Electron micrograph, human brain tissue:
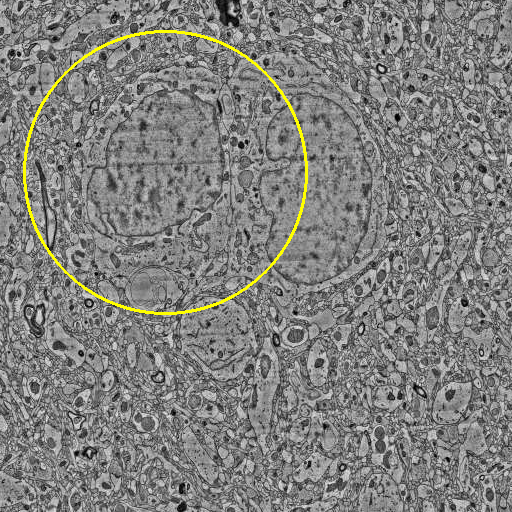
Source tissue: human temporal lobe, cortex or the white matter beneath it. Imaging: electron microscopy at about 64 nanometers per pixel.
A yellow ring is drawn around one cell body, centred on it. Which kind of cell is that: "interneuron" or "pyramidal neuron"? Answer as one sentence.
It is an interneuron at the centre of the ring.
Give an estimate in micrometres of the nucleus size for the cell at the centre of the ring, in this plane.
The nucleus comes to roughly 10 by 8 micrometres in this plane.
